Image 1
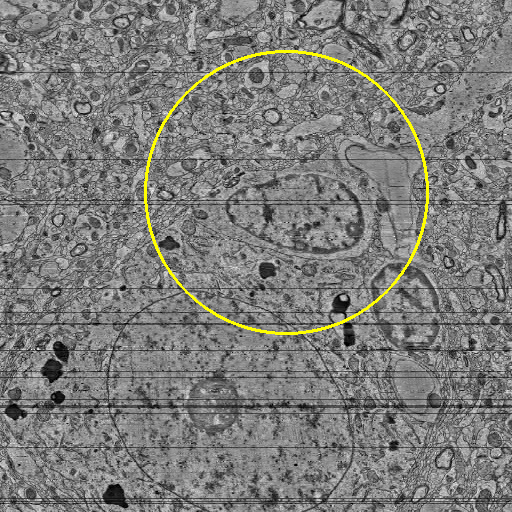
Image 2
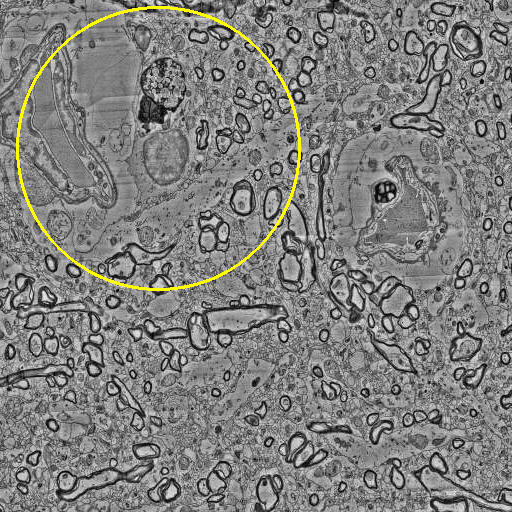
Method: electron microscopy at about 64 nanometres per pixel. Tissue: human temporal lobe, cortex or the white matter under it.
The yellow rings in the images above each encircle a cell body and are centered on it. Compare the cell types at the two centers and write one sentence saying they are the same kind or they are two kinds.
Taken together, the two cells at the ring centers are the same kind.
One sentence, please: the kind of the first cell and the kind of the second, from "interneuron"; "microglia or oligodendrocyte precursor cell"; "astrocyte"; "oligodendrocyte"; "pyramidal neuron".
Each of the ringed cells, first and second, is a microglial cell or oligodendrocyte precursor cell.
